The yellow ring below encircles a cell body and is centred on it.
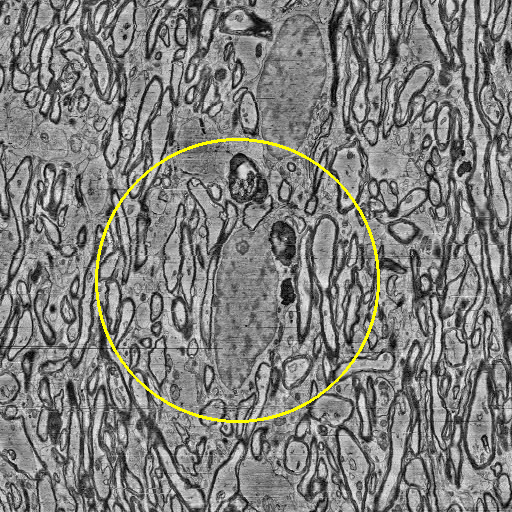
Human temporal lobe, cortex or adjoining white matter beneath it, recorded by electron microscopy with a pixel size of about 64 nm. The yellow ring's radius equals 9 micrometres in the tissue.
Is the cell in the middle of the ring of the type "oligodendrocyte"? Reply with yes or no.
yes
